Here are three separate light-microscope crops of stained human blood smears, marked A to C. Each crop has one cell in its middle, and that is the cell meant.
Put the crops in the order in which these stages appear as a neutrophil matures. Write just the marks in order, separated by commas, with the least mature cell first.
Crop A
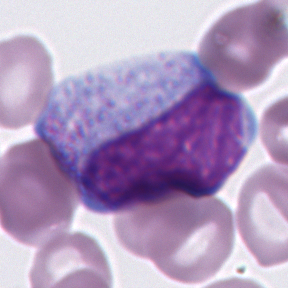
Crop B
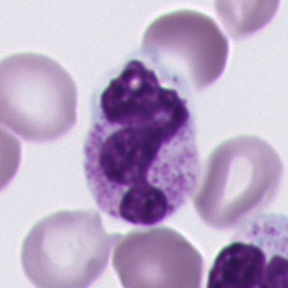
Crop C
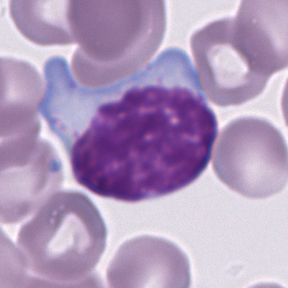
C, A, B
